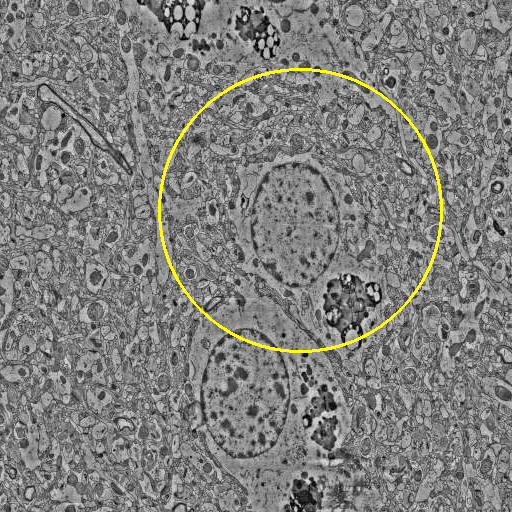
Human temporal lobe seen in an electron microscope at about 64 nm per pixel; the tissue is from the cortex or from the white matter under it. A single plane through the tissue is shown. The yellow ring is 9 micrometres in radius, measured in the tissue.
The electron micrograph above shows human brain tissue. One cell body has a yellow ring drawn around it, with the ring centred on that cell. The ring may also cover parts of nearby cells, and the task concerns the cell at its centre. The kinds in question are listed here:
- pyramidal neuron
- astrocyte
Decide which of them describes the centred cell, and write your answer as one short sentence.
The centred cell is an astrocyte.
